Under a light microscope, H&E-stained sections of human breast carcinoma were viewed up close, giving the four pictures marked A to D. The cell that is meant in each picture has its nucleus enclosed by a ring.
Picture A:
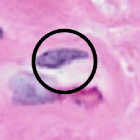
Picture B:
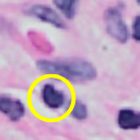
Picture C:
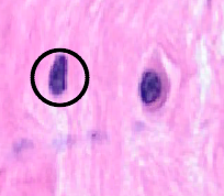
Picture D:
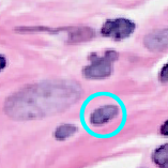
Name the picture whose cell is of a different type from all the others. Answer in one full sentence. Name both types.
Unlike the rest, which show lymphocytes, picture A shows an endothelial cell.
